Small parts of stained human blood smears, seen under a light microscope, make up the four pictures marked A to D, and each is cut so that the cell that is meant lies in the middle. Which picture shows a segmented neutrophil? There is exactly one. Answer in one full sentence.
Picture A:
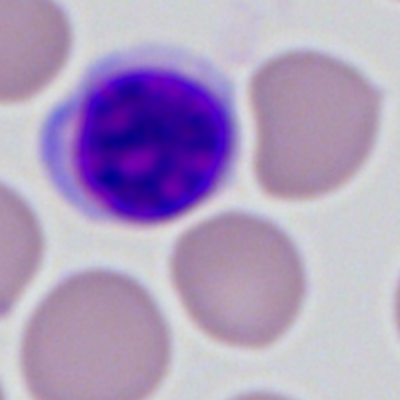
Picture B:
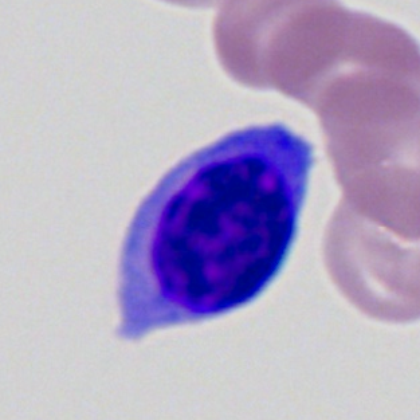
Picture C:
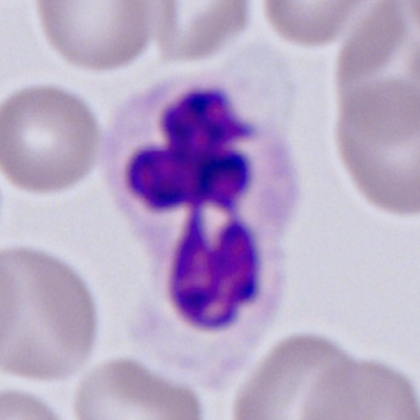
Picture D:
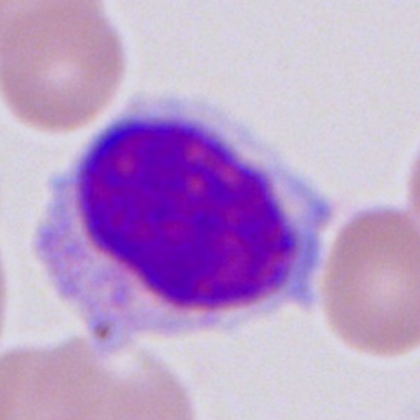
The cell in picture C is the segmented neutrophil.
